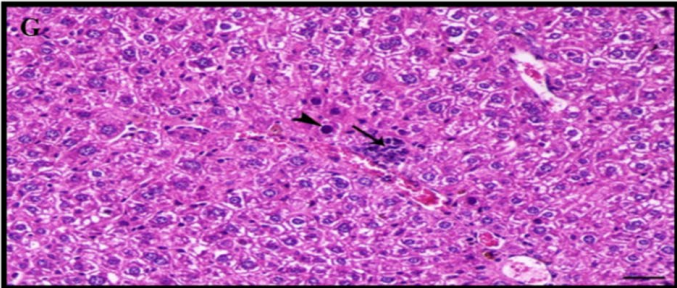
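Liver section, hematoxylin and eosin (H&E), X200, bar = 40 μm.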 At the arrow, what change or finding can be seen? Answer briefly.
Inflammation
